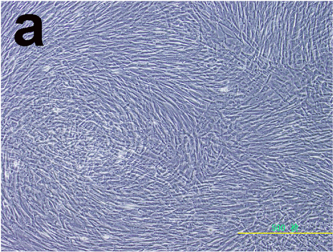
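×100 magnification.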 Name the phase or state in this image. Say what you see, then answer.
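Swirling and fibroblast-like. The culture is densely packed with elongated, spindle-shaped cells. The cells are aligned in parallel streams that curve into whorls across the field.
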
